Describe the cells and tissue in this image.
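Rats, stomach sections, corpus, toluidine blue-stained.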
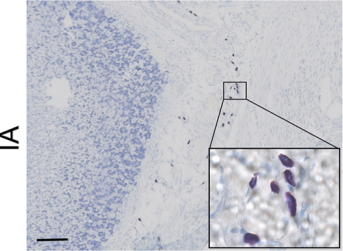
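On the left the mucosa appears as a dense, deeply blue band of closely packed glandular cells. To its right lies paler, loosely textured connective tissue and muscle with only faint blue staining. Within this pale zone there are small dark purple dots, and the inset enlarges a group of them as oval to spindle-shaped cells whose cytoplasm is packed with dark purple granular material. Their purple colour contrasts clearly with the blue of the surrounding tissue.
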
